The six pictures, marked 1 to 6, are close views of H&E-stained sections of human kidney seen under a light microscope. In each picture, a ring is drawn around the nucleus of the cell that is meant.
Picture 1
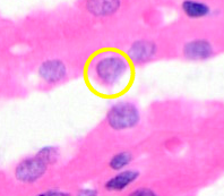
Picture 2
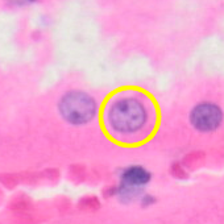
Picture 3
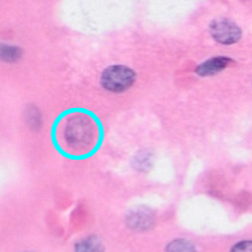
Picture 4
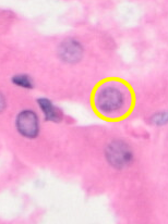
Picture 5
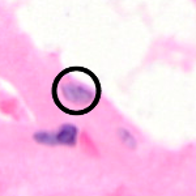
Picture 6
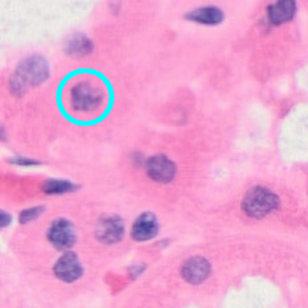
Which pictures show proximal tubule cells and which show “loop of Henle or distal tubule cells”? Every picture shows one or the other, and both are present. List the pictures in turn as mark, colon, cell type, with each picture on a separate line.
1: loop of Henle or distal tubule cell
2: proximal tubule cell
3: proximal tubule cell
4: proximal tubule cell
5: loop of Henle or distal tubule cell
6: loop of Henle or distal tubule cell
